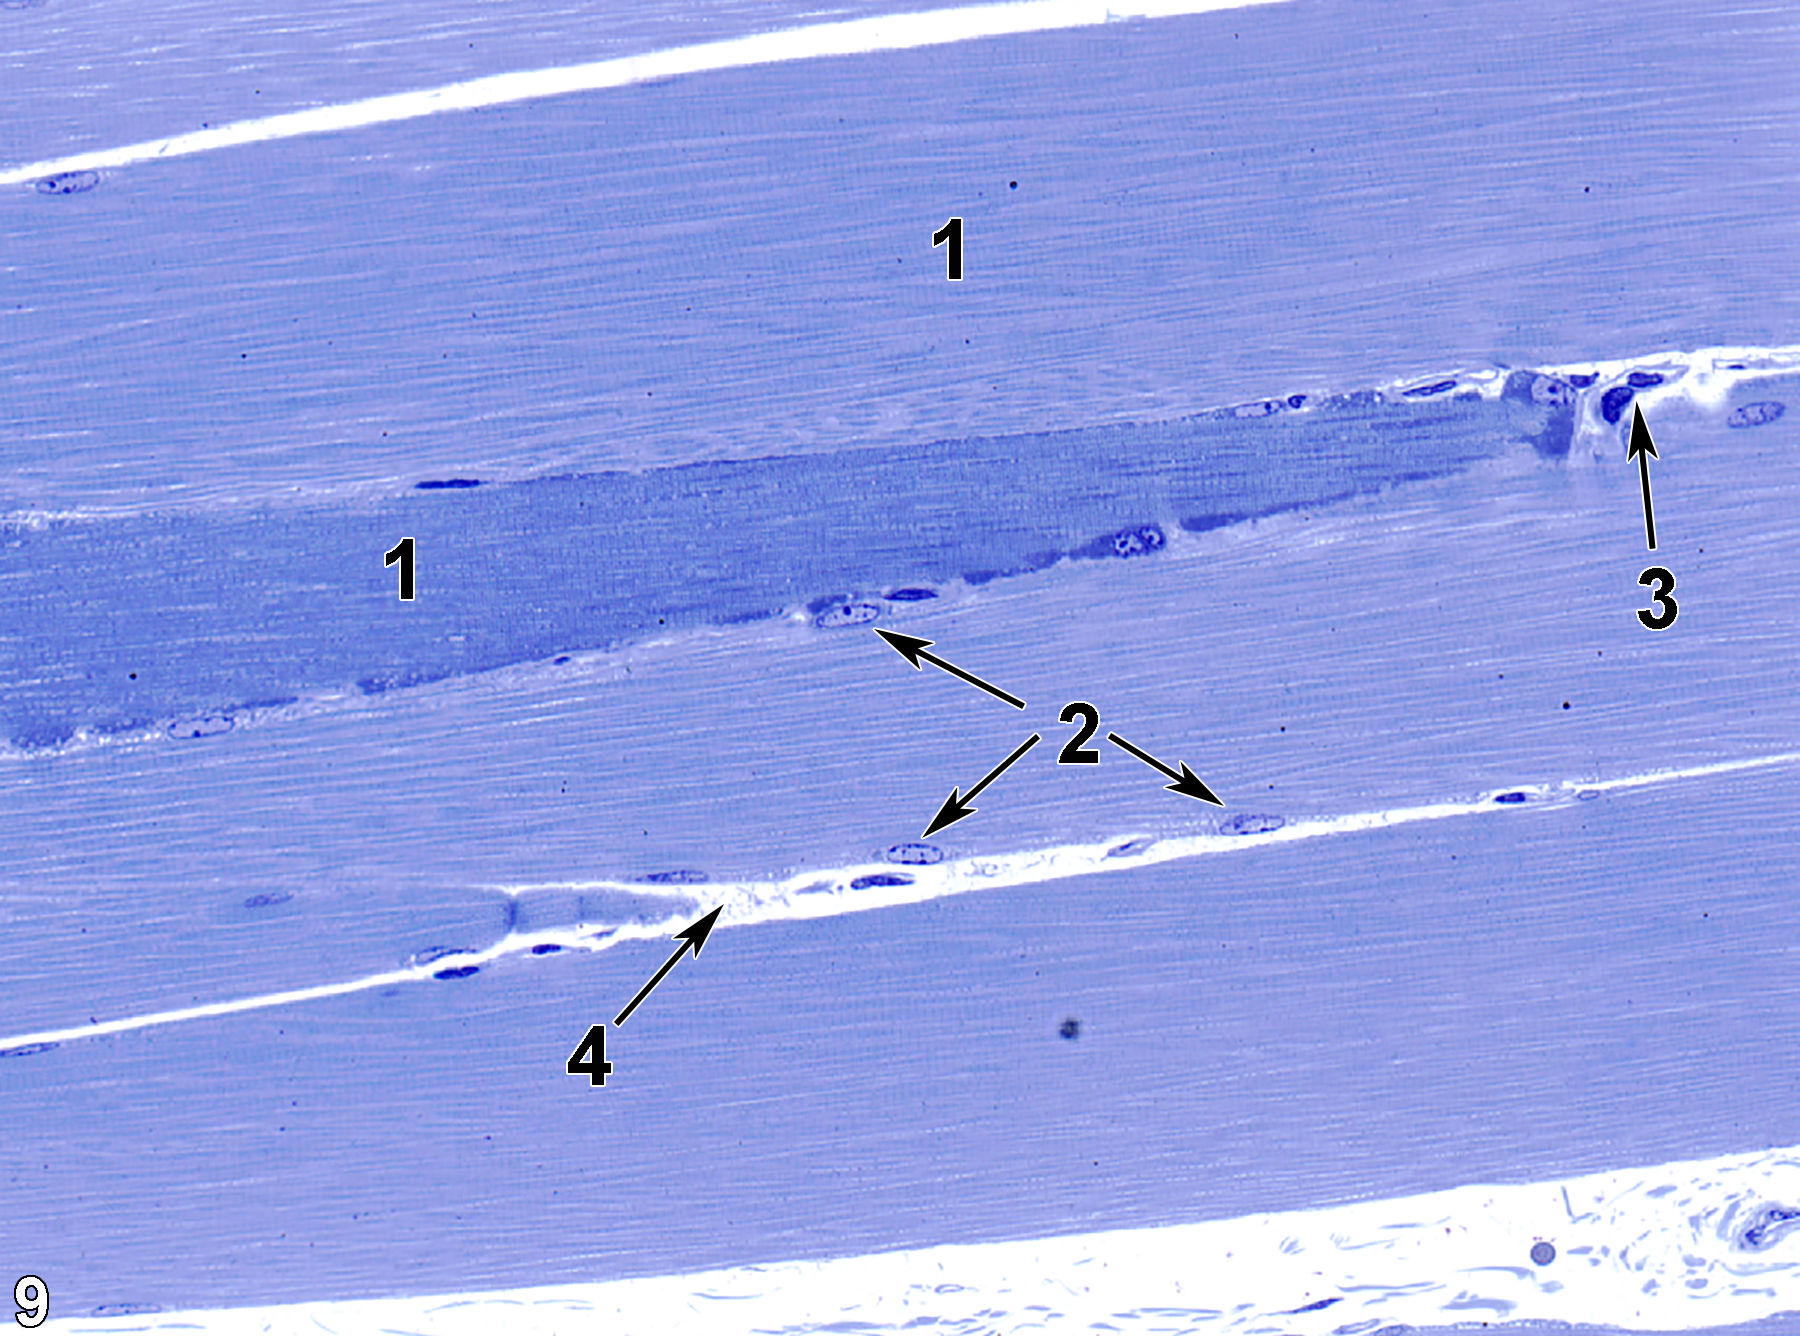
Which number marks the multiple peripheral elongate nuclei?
It's 2.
